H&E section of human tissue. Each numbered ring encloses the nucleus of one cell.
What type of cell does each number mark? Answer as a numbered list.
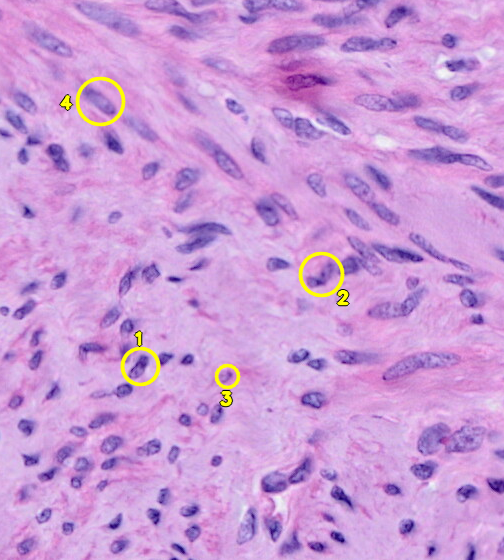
1. fibroblast
2. smooth muscle cell
3. smooth muscle cell
4. smooth muscle cell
